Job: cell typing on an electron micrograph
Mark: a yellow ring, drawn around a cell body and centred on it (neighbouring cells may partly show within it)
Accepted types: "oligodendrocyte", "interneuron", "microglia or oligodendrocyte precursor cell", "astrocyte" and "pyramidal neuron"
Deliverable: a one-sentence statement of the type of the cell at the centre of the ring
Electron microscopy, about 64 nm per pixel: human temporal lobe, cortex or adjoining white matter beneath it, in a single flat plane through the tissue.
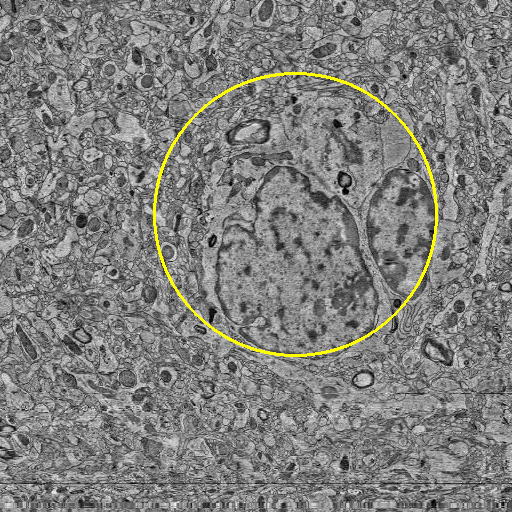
The centred cell body is that of a microglial cell or oligodendrocyte precursor cell.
